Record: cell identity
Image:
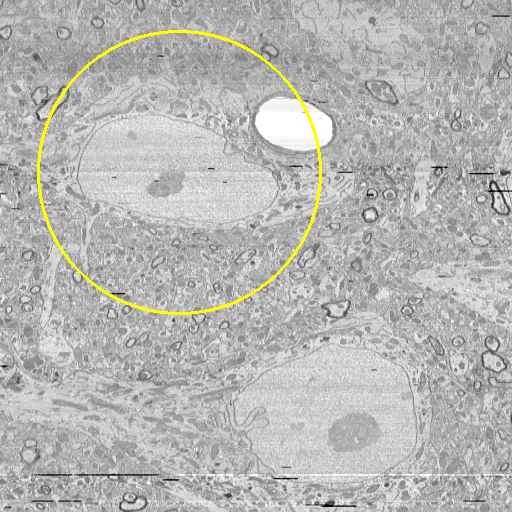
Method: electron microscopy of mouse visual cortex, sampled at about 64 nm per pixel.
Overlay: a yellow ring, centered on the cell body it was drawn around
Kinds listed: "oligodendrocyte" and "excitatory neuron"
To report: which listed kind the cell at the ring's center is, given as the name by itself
excitatory neuron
